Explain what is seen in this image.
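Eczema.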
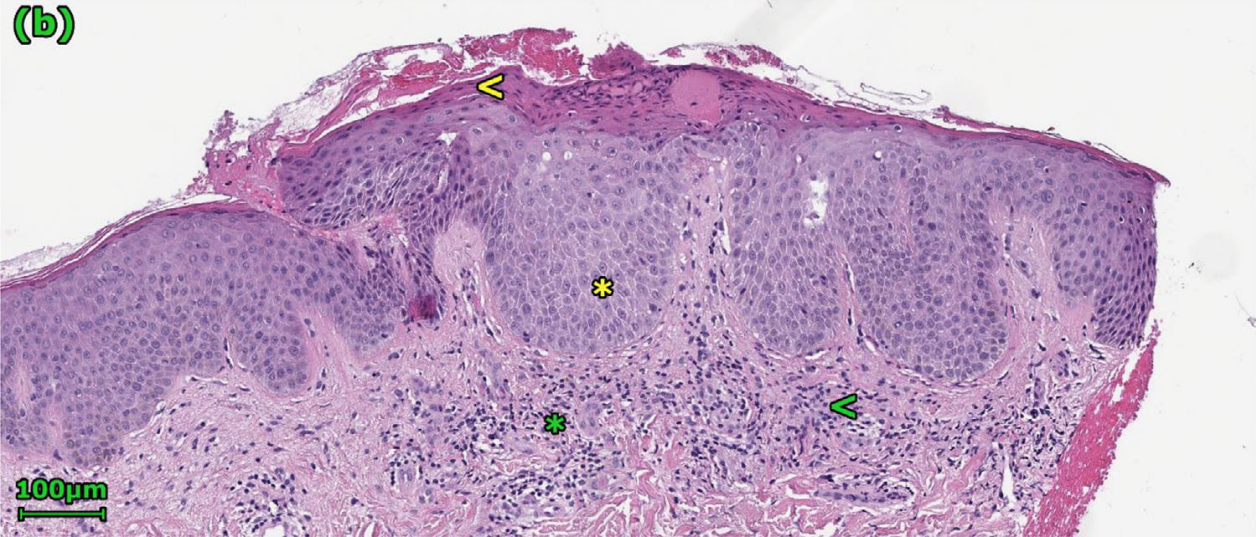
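This is skin in cross-section, with an epidermis of keratinocytes whose pale middle layers show widened spaces between the cells, the change called spongiosis. On top lies a thickened, irregular stratum corneum with a pink crust. In the dermis below the epidermal ridges, many small cells with dark round nuclei, inflammatory cells, are scattered among the pink collagen.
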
